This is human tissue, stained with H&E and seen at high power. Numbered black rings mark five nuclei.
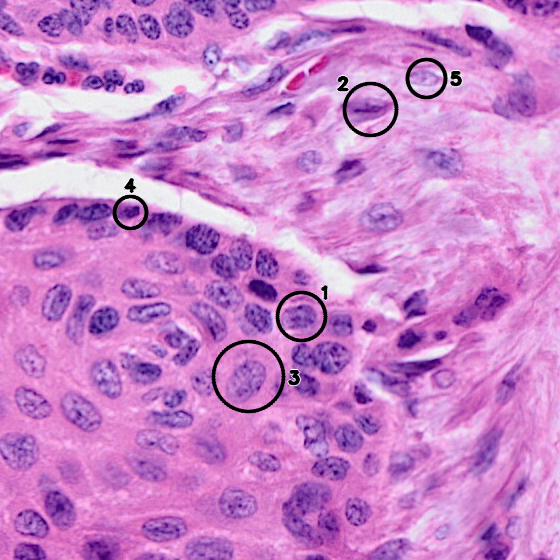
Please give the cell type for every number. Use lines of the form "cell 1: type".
cell 1: squamous carcinoma cell
cell 2: fibroblast
cell 3: squamous carcinoma cell
cell 4: squamous carcinoma cell
cell 5: fibroblast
